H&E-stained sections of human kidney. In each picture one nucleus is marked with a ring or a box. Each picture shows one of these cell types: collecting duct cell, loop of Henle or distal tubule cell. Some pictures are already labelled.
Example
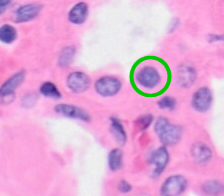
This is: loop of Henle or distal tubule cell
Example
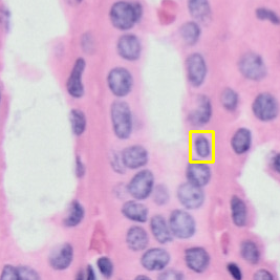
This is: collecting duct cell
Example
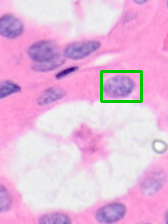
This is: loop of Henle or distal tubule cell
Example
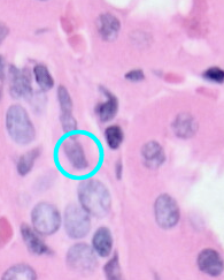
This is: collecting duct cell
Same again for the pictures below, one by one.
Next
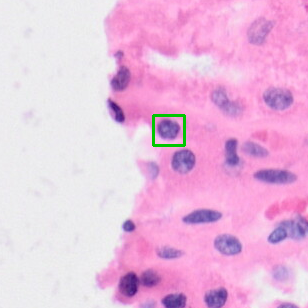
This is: loop of Henle or distal tubule cell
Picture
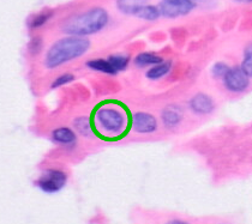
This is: collecting duct cell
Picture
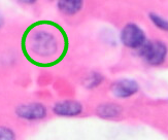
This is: loop of Henle or distal tubule cell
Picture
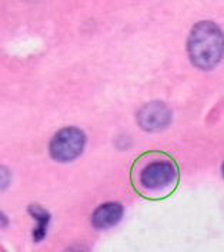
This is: loop of Henle or distal tubule cell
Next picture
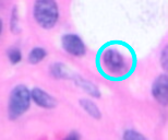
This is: collecting duct cell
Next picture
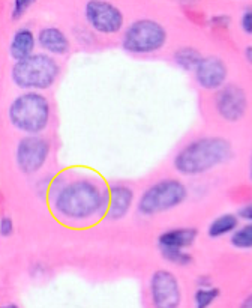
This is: collecting duct cell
